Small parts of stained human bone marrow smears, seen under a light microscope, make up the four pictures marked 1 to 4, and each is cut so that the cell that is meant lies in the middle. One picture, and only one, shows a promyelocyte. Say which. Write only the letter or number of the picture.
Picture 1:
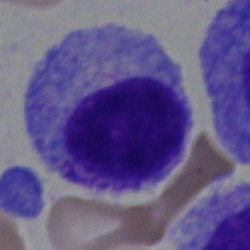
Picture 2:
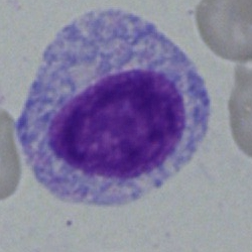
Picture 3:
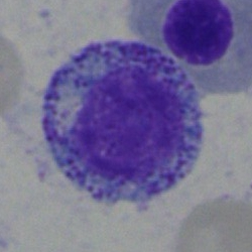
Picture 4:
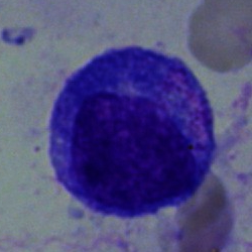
4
